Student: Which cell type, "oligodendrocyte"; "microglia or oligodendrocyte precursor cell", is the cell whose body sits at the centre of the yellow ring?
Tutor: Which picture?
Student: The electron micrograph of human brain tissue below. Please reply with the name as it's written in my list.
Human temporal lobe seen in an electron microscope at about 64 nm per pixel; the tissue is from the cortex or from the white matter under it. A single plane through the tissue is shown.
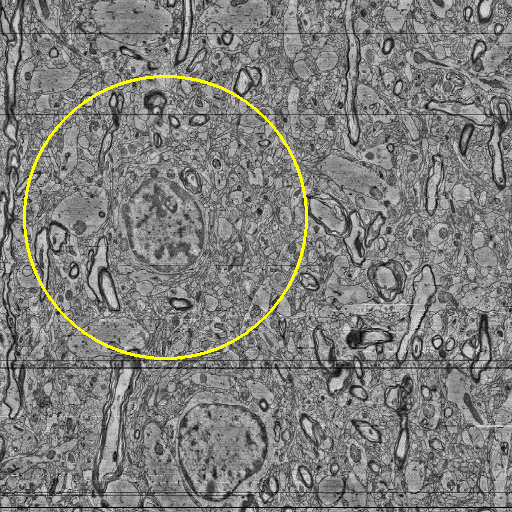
oligodendrocyte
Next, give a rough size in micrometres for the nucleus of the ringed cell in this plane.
In this plane, about 7 micrometres in length and 5 in width.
